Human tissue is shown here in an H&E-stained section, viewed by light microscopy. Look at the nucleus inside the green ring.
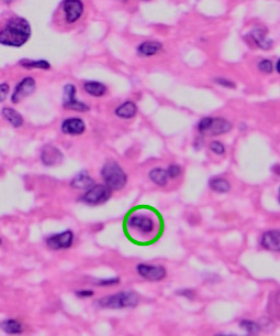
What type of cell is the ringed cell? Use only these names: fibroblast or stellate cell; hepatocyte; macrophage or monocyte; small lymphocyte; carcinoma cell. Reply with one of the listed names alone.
macrophage or monocyte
